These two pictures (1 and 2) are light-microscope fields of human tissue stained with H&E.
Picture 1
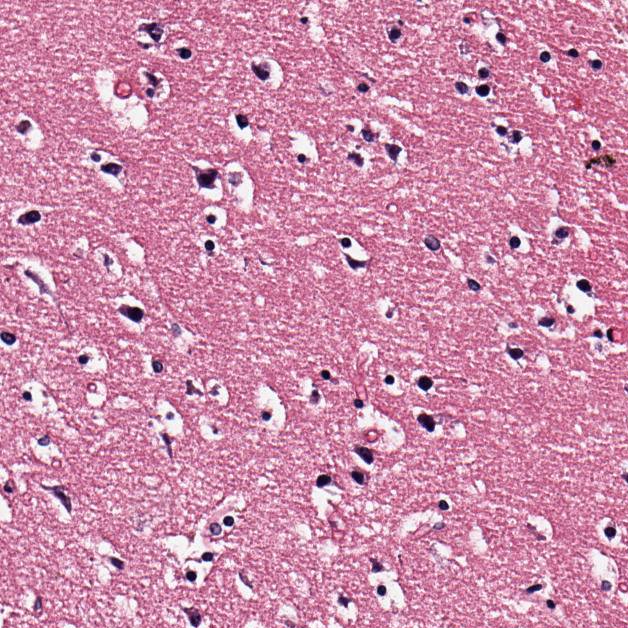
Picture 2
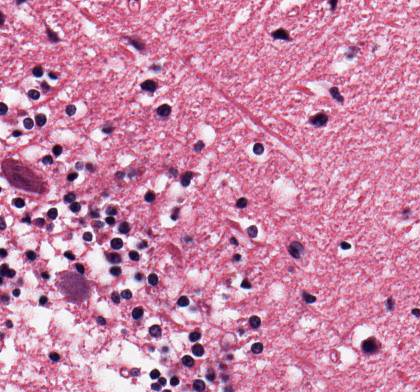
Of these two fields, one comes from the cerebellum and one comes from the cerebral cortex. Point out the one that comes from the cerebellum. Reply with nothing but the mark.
2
